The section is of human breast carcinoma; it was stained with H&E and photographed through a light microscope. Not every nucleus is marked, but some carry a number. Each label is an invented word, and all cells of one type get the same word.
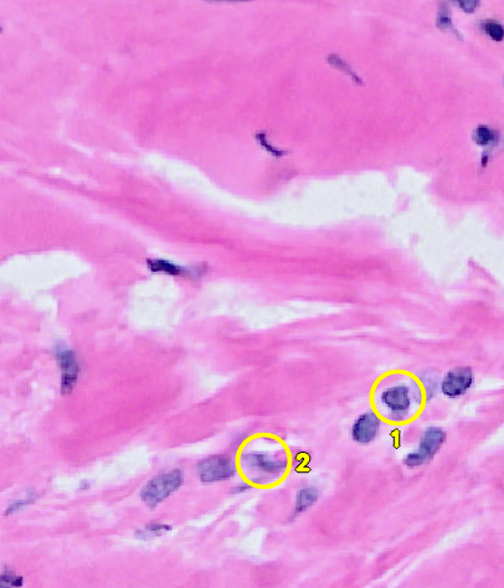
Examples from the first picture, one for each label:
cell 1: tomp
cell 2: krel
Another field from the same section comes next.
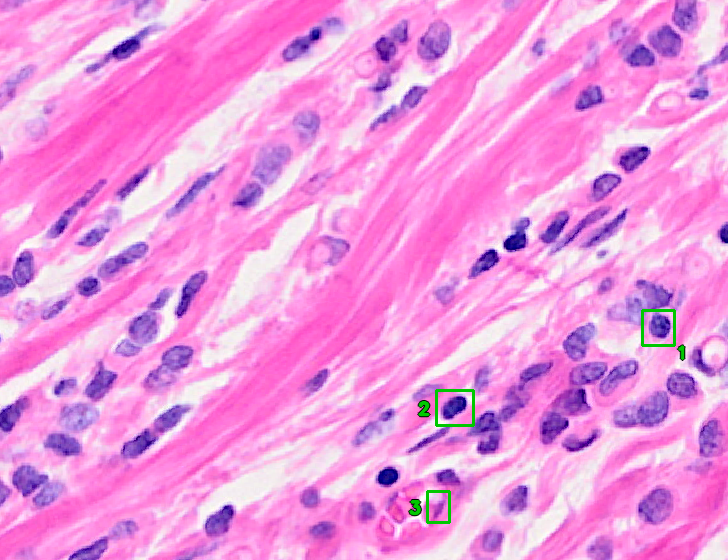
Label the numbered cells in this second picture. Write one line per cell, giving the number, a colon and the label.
1: tomp
2: tomp
3: krel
